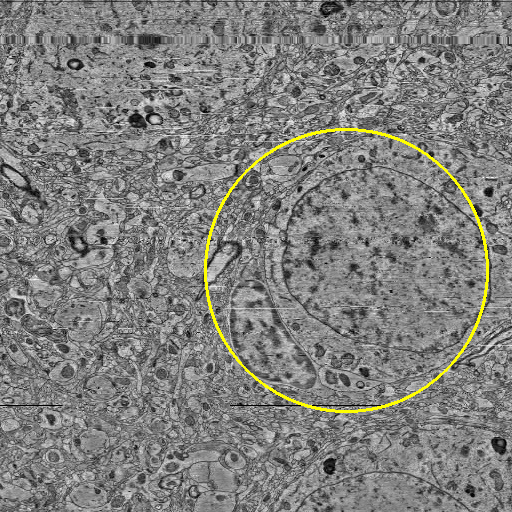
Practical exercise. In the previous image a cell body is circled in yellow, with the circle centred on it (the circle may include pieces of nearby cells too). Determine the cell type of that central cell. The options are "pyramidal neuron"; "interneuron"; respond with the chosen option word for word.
pyramidal neuron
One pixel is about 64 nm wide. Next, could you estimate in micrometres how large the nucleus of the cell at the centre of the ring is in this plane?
In this plane, about 14 micrometres in length and 11 in width.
